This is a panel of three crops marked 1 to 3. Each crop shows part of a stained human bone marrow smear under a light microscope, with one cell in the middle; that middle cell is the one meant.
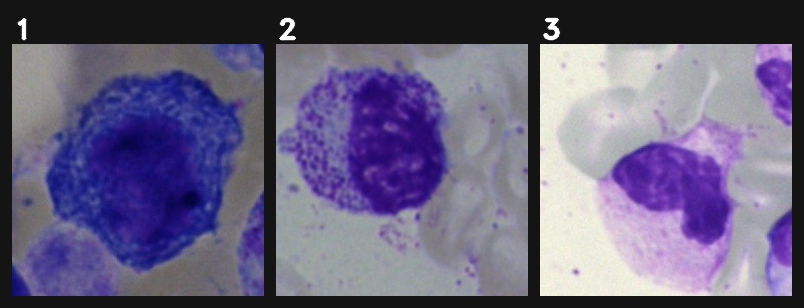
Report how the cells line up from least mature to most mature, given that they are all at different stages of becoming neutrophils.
1, 2, 3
